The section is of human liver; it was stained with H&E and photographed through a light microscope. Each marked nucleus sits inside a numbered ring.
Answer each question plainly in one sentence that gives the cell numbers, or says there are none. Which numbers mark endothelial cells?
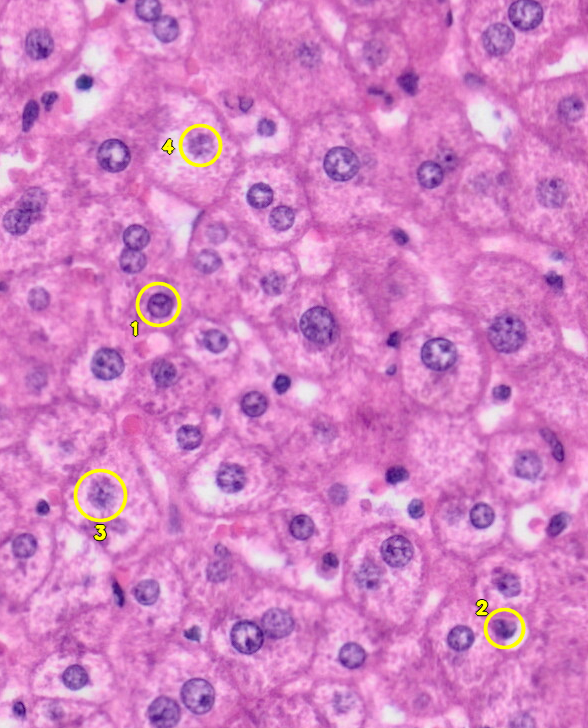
Cell 2 is an endothelial cell, whereas each of the other numbered cells is not.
